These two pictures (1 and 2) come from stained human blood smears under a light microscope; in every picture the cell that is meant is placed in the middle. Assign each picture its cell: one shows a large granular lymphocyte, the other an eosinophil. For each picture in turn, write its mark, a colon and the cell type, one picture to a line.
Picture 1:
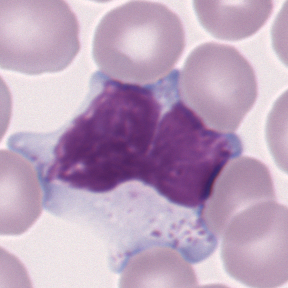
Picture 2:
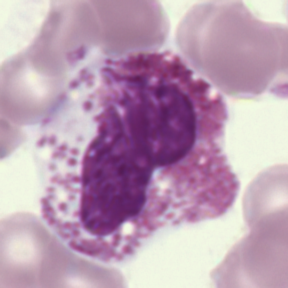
1: large granular lymphocyte
2: eosinophil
